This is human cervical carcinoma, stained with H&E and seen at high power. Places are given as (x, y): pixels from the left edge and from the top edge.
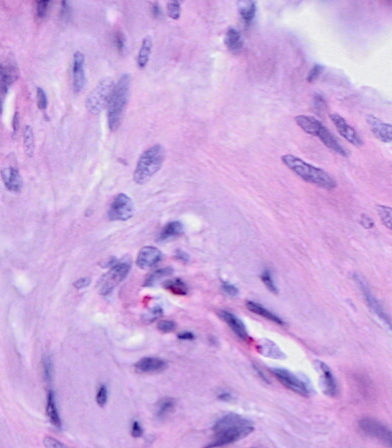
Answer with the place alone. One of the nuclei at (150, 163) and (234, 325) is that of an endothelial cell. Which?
(234, 325)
